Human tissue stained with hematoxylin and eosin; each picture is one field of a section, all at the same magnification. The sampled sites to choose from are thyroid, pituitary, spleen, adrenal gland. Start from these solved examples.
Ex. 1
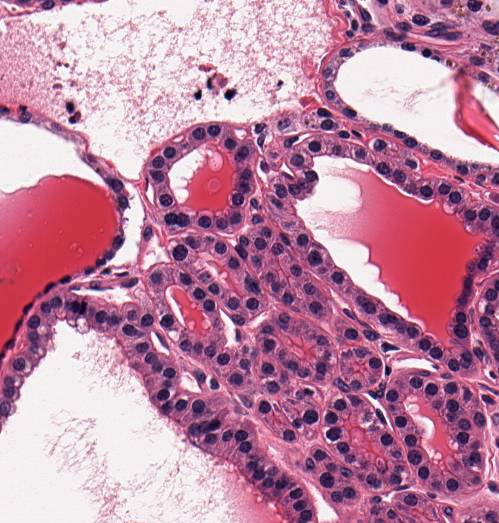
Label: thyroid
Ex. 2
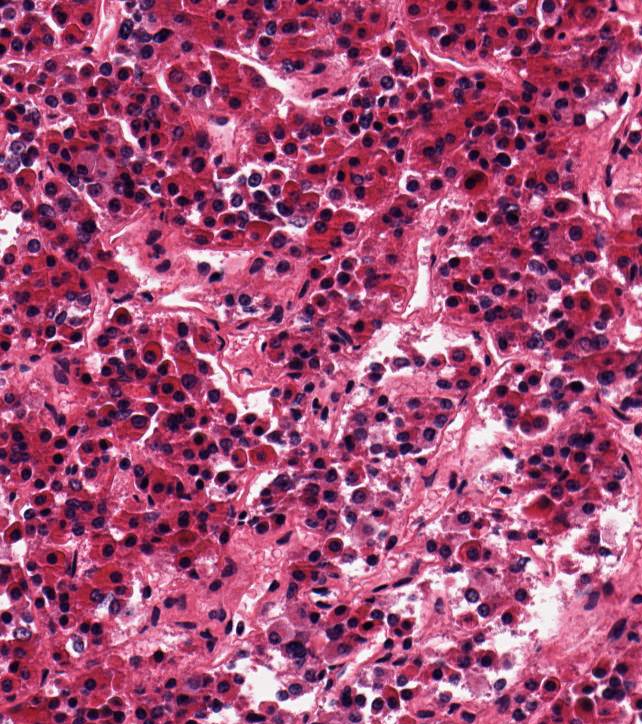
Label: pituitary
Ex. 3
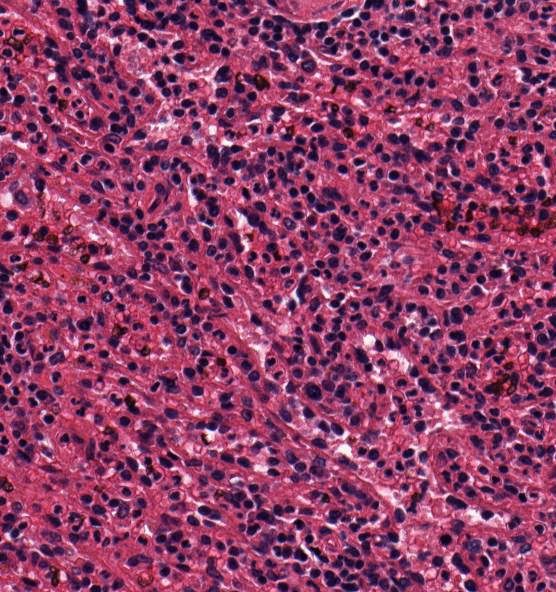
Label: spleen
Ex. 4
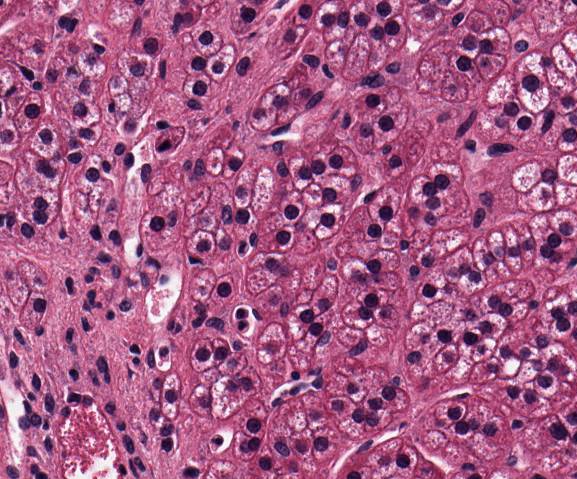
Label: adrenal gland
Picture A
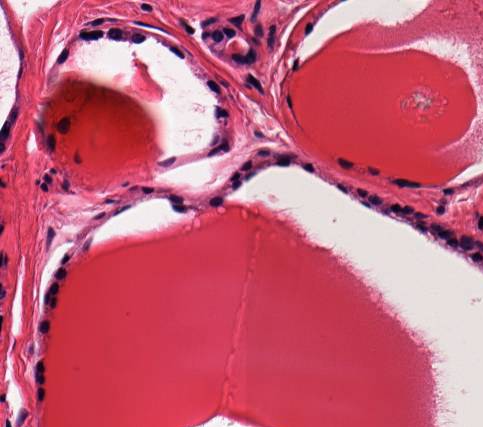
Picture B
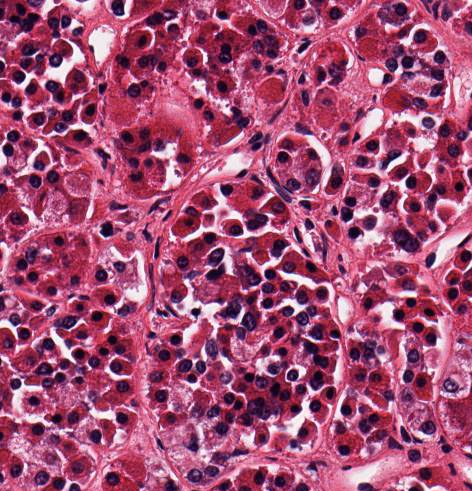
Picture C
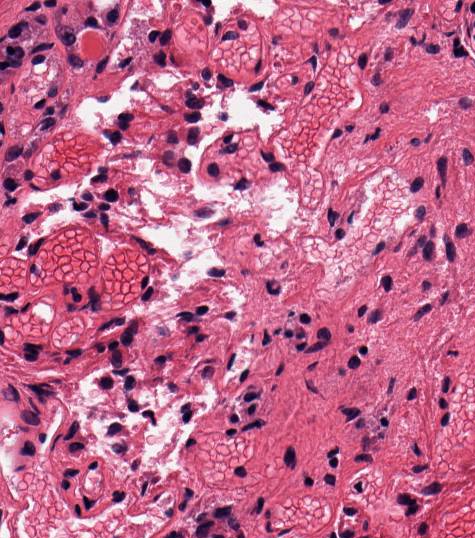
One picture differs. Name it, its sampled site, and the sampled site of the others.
Picture A: thyroid. All others: pituitary.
